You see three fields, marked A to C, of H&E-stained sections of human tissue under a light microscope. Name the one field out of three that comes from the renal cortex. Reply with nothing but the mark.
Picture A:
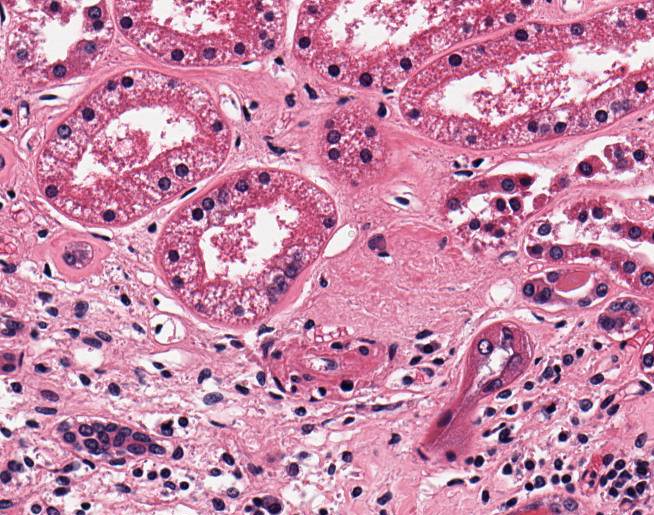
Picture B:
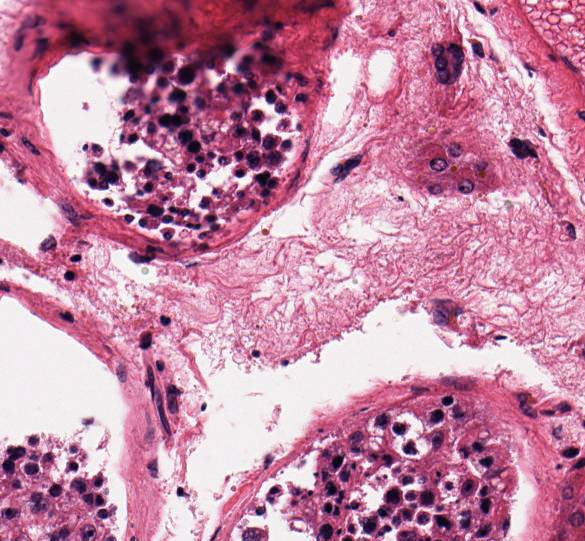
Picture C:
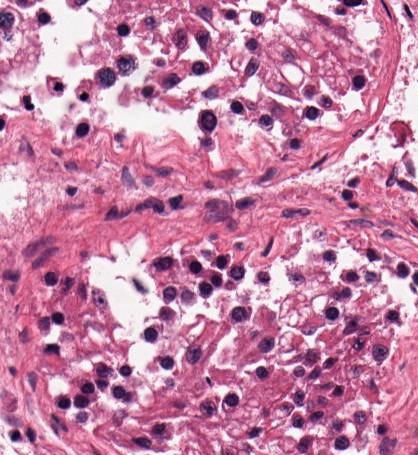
A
